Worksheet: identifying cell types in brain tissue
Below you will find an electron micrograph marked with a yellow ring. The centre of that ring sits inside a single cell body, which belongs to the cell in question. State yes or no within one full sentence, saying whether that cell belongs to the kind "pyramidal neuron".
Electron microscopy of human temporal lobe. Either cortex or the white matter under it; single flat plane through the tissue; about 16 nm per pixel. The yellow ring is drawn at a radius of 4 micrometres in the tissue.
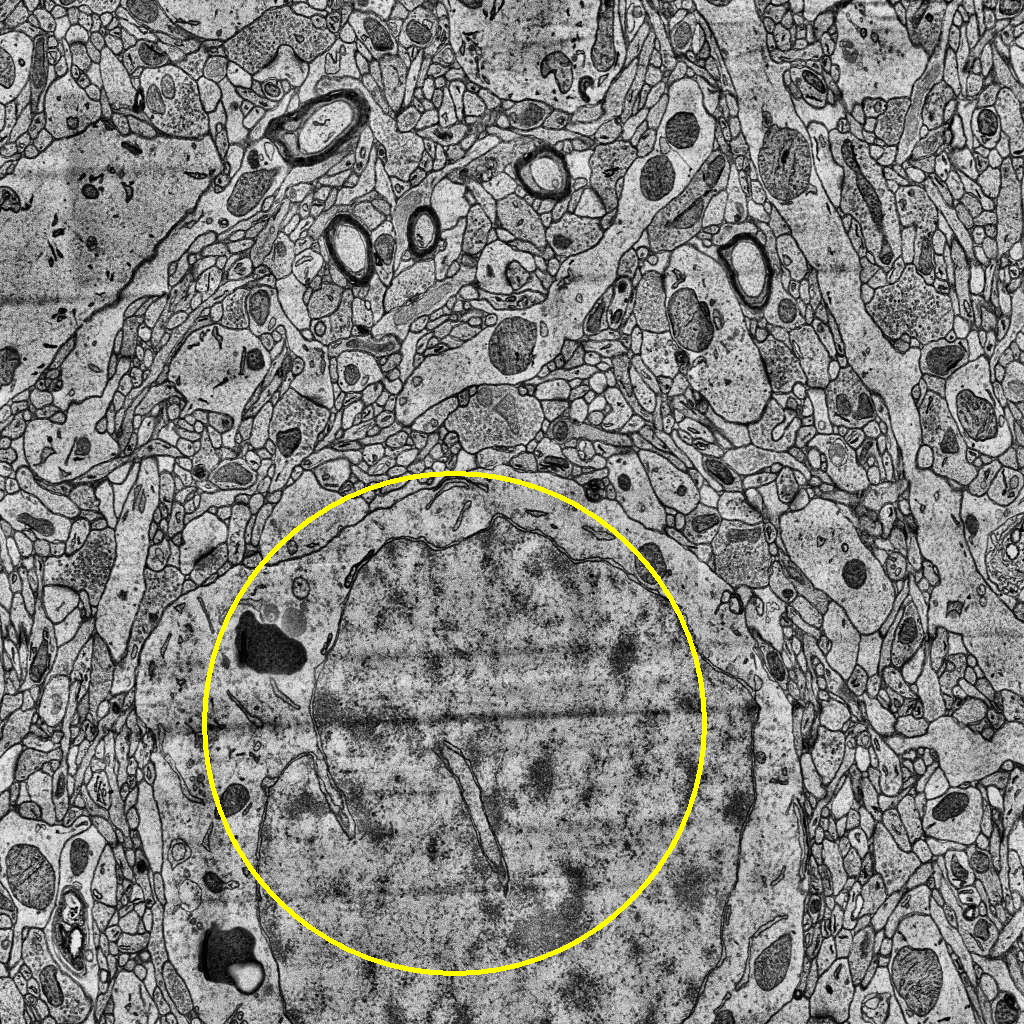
No, the cell whose body contains the centre of the yellow ring in this picture is of another kind.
